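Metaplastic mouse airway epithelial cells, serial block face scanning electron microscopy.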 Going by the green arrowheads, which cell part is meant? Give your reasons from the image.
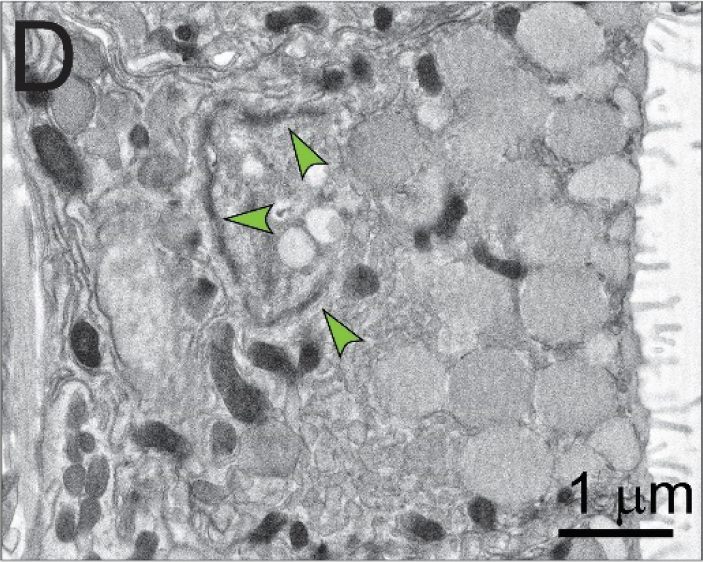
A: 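Golgi ribbon. The arrowheads point at stacked, curved membrane profiles.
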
